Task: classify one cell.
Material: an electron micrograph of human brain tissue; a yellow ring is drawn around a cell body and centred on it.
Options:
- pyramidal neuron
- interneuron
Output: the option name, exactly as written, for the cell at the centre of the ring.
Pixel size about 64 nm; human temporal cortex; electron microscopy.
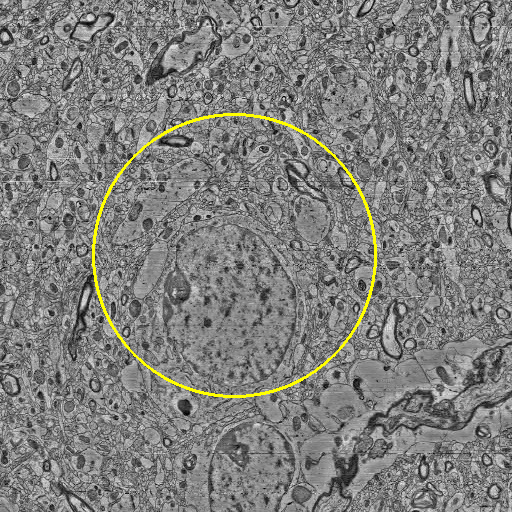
interneuron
